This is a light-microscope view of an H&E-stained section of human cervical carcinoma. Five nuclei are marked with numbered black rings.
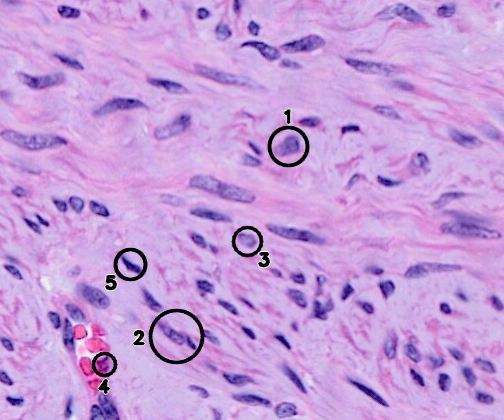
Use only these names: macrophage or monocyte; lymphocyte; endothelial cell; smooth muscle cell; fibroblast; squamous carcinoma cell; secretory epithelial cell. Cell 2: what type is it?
smooth muscle cell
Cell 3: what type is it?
smooth muscle cell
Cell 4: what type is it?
endothelial cell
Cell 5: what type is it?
fibroblast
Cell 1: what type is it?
smooth muscle cell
